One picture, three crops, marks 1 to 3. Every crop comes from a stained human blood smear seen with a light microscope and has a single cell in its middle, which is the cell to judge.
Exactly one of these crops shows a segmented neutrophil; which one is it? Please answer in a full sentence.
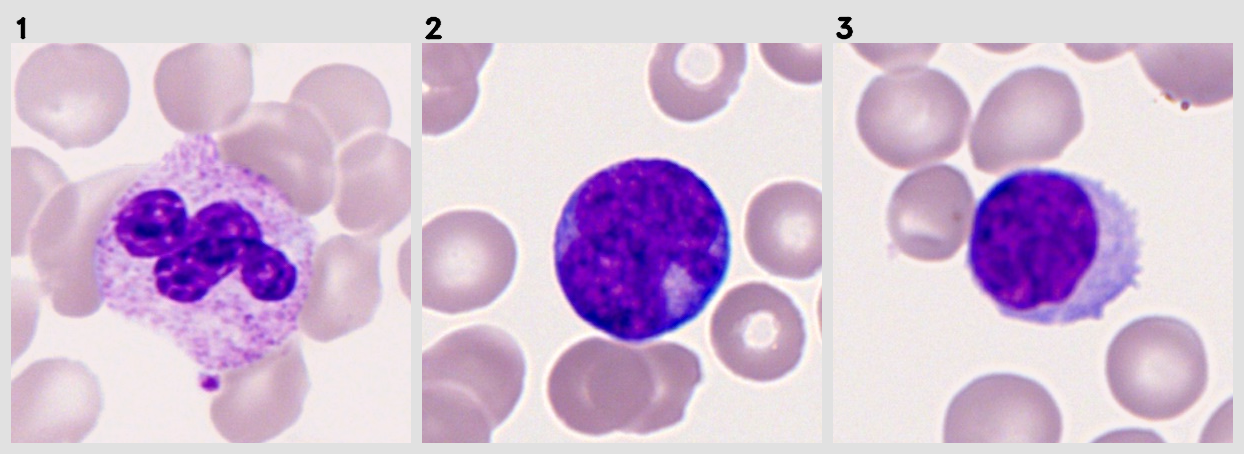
Of the labeled crops, the one with a segmented neutrophil is crop 1.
